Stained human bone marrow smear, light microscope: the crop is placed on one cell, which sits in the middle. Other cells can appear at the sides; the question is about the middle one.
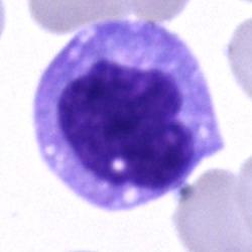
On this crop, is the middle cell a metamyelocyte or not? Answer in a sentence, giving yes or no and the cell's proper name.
No, it is not a metamyelocyte that lies in the middle but a monocyte.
